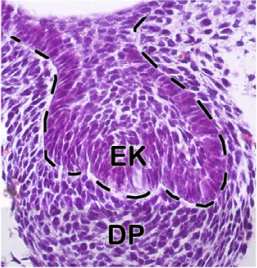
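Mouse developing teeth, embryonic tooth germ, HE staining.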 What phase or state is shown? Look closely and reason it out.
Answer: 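The epithelial bud is shaped like a shallow cap over condensed mesenchyme. No loose central epithelial region with widely spaced cells is yet present.
Answer: cap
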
